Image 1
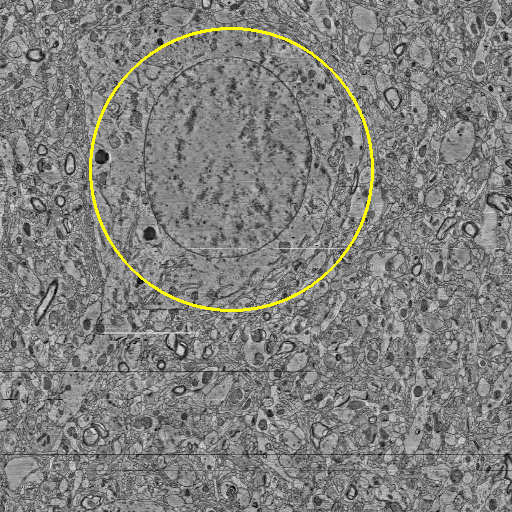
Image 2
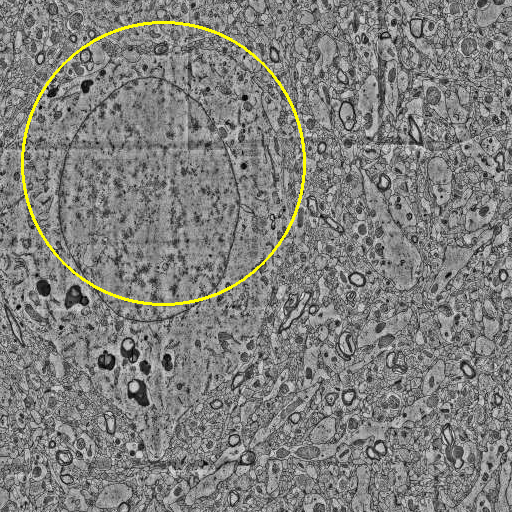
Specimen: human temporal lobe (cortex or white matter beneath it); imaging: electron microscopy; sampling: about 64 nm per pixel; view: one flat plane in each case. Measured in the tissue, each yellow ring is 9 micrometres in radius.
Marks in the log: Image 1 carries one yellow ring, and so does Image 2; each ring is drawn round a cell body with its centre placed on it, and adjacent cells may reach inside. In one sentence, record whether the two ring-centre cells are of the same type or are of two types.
The two cells at the ring centres, one in each image, are of the same type.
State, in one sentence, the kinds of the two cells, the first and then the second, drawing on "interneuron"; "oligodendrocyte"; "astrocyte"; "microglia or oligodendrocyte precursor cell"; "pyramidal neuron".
Each of the ringed cells, first and second, is a pyramidal neuron.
